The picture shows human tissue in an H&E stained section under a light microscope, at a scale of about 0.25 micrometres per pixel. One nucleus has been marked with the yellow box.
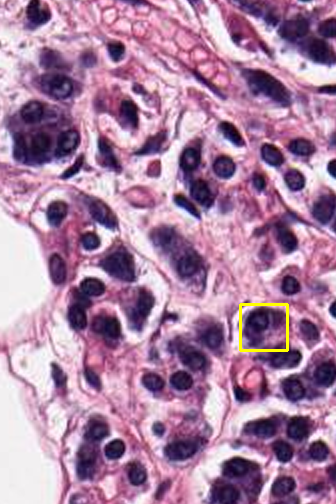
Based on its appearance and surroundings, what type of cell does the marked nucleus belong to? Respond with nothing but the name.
pancreatic acinar cell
